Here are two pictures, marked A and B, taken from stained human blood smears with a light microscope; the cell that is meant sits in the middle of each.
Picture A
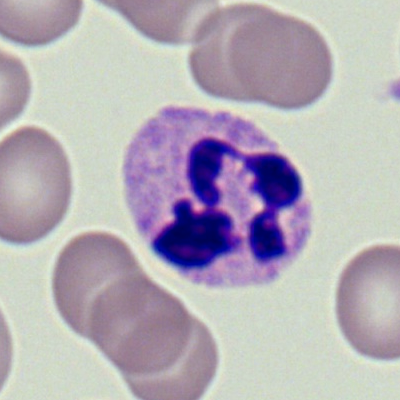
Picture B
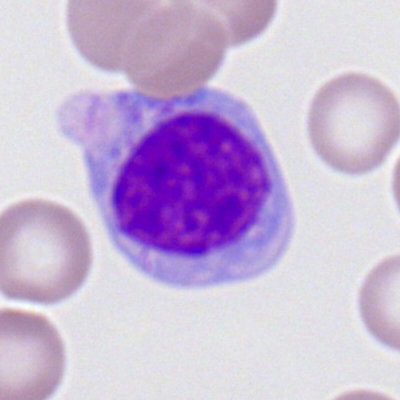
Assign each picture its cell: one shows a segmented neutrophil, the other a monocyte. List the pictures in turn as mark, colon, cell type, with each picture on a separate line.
A: segmented neutrophil
B: monocyte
